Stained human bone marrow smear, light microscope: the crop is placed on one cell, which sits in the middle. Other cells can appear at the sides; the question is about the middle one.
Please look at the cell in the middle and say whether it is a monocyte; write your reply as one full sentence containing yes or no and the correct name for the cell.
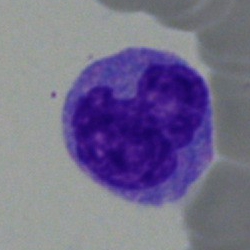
Yes, the cell located at the center is a monocyte.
